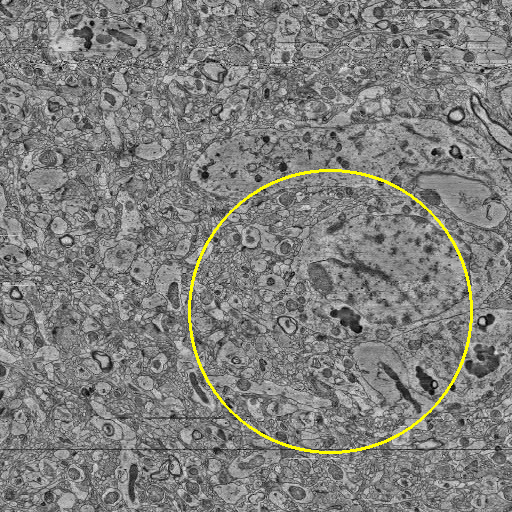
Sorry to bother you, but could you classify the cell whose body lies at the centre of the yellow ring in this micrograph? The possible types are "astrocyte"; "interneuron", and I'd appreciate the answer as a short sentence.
The ringed cell body is that of an interneuron.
